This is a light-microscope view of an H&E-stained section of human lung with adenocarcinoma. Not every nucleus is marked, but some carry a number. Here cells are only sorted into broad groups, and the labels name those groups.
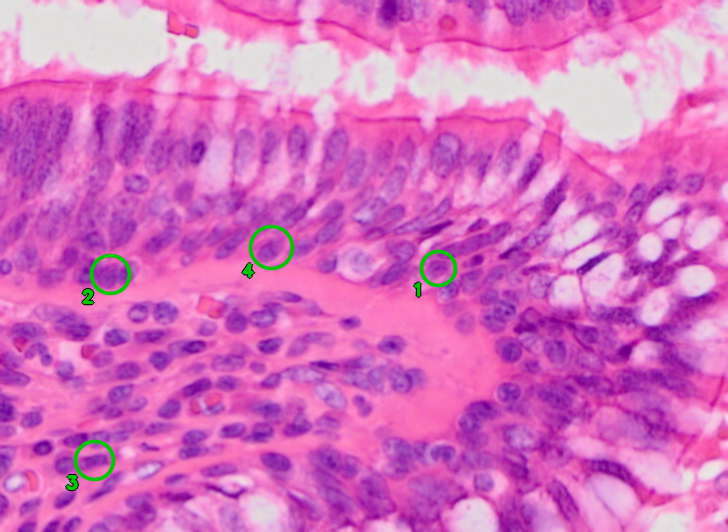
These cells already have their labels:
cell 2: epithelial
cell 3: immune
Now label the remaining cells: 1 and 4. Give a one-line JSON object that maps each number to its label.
{"1": "epithelial", "4": "epithelial"}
